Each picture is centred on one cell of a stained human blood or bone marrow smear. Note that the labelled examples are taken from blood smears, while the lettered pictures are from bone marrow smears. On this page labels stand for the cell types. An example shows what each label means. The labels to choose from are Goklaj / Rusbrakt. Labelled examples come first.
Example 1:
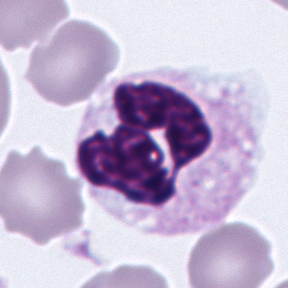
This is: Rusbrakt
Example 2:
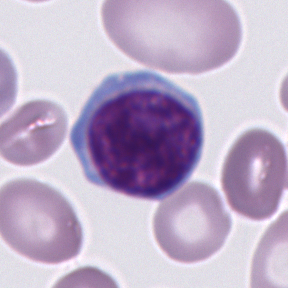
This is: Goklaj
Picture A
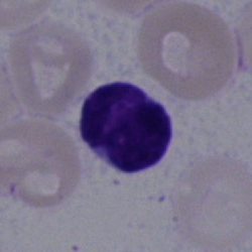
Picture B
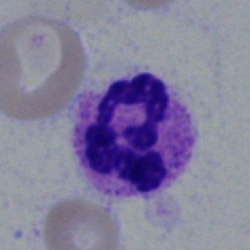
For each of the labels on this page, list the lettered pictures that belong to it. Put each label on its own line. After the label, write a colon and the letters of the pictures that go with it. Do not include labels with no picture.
Goklaj: A
Rusbrakt: B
